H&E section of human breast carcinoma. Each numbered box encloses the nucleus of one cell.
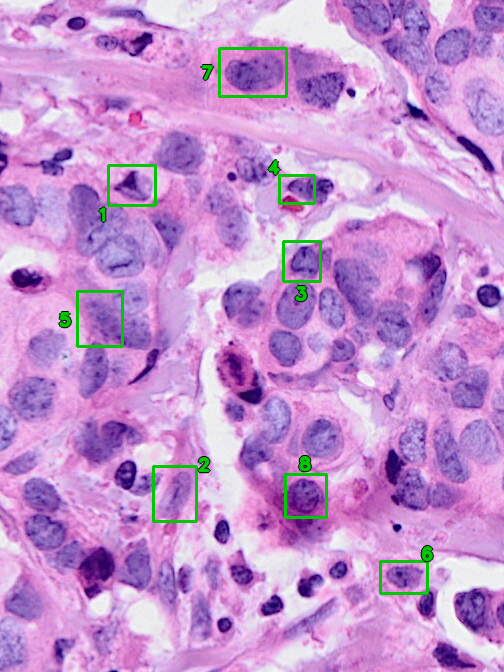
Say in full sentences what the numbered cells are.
Cells 1, 3, 5, 7 and 8 are carcinoma cells. Cells 2 and 4 are endothelial cells. Cell 6 is a macrophage, monocyte or dendritic cell.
